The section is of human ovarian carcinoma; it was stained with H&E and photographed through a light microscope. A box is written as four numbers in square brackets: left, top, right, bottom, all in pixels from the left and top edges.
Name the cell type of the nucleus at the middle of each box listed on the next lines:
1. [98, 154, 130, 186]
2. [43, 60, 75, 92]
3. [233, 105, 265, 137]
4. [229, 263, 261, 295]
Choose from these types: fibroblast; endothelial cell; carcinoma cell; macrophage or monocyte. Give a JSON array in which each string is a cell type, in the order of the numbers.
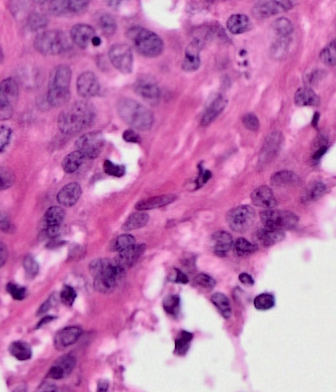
["carcinoma cell", "carcinoma cell", "endothelial cell", "macrophage or monocyte"]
